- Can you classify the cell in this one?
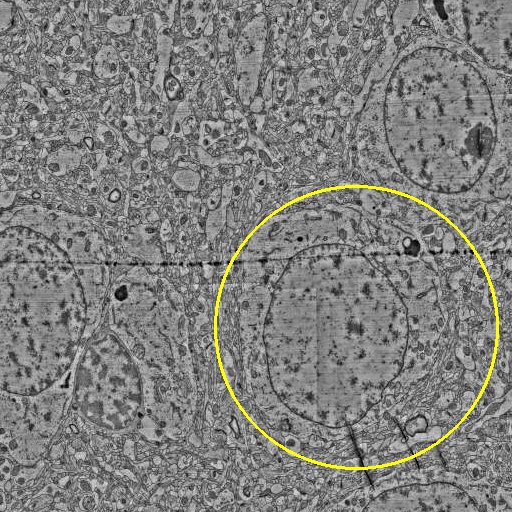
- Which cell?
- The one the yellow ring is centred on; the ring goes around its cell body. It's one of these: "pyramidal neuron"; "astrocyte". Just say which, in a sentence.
The cell body in the ring belongs to a pyramidal neuron.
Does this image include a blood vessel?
No, no vessel appears in the picture.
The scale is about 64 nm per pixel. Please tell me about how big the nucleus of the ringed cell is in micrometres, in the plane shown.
In this plane, the nucleus of the cell at the centre of the ring measures about 12 by 9 micrometres.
